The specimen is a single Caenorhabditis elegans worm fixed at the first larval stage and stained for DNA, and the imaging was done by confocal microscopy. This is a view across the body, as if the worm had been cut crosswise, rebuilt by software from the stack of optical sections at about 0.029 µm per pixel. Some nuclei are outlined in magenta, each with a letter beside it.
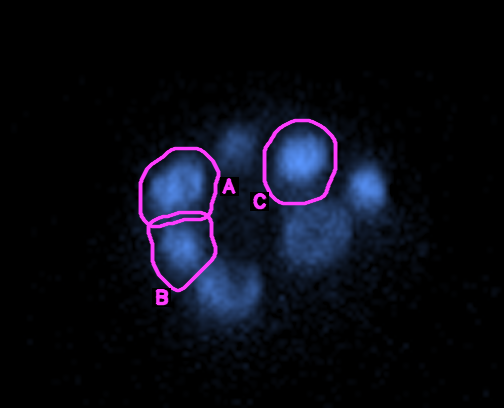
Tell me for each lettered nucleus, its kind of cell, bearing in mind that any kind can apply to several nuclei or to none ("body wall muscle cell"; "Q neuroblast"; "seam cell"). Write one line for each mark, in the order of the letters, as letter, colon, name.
A: body wall muscle cell
B: body wall muscle cell
C: Q neuroblast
